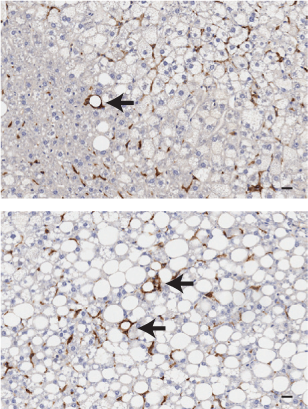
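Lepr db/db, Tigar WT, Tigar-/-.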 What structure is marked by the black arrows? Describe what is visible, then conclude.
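Each arrow points to a clear round vacuole. The vacuoles are ringed by brown-stained cells. On this evidence: lipogranulomas.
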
